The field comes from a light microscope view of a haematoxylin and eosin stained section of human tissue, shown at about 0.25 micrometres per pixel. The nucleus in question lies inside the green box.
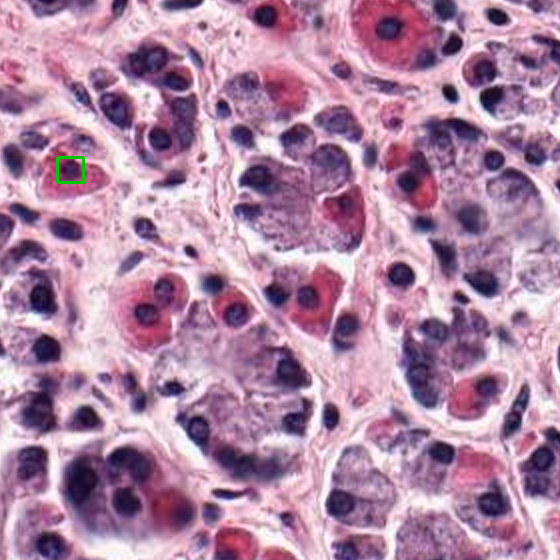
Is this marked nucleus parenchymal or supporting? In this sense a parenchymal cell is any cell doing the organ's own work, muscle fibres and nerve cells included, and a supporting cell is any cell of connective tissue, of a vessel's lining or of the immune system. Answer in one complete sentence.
It is to a parietal cell, a parenchymal cell, that the marked nucleus belongs.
